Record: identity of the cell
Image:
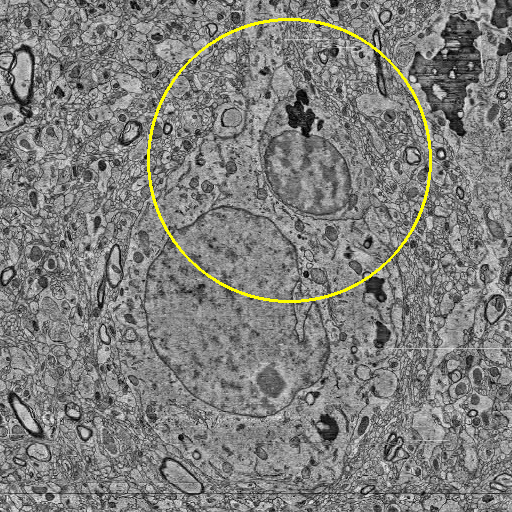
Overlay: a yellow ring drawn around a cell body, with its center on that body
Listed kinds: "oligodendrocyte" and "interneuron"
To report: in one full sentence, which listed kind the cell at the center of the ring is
In the image, the cell body at the ring's center belongs to an oligodendrocyte.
